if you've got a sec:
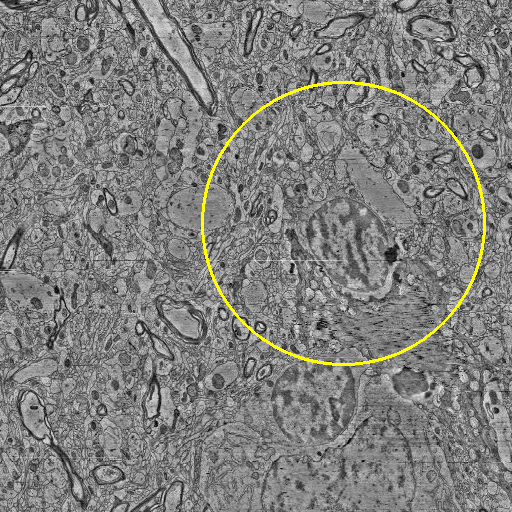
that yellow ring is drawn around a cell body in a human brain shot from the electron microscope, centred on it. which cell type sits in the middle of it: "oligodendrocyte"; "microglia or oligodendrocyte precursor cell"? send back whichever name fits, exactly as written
oligodendrocyte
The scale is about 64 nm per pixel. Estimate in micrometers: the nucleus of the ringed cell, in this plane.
Roughly 6 by 5 micrometres is the size of the nucleus in this plane.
